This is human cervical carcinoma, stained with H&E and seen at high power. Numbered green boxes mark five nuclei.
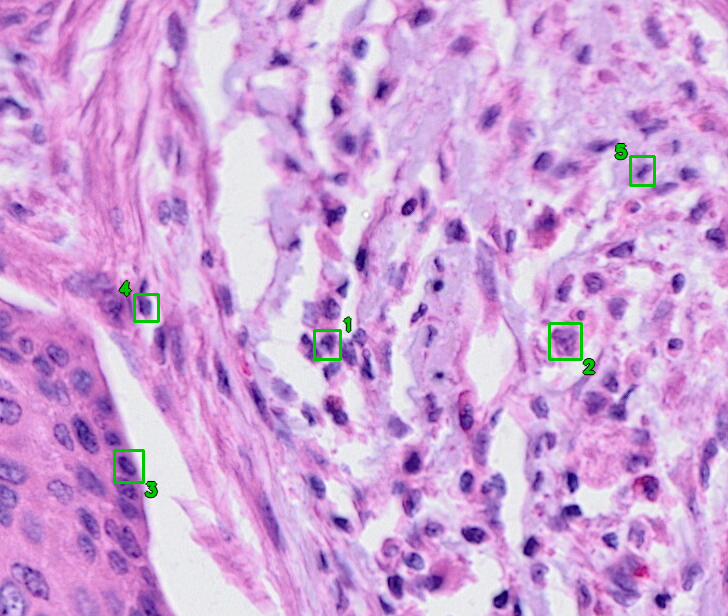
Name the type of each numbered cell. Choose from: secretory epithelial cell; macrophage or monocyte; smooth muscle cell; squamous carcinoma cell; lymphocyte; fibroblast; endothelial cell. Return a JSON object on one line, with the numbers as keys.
{"1": "lymphocyte", "2": "macrophage or monocyte", "3": "squamous carcinoma cell", "4": "lymphocyte", "5": "fibroblast"}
